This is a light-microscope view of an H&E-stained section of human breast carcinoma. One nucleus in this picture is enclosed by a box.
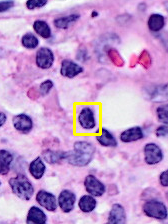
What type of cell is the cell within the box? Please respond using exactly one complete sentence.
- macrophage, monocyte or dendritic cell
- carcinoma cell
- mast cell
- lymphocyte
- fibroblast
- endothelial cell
It is as a lymphocyte that the cell within the box is recorded.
